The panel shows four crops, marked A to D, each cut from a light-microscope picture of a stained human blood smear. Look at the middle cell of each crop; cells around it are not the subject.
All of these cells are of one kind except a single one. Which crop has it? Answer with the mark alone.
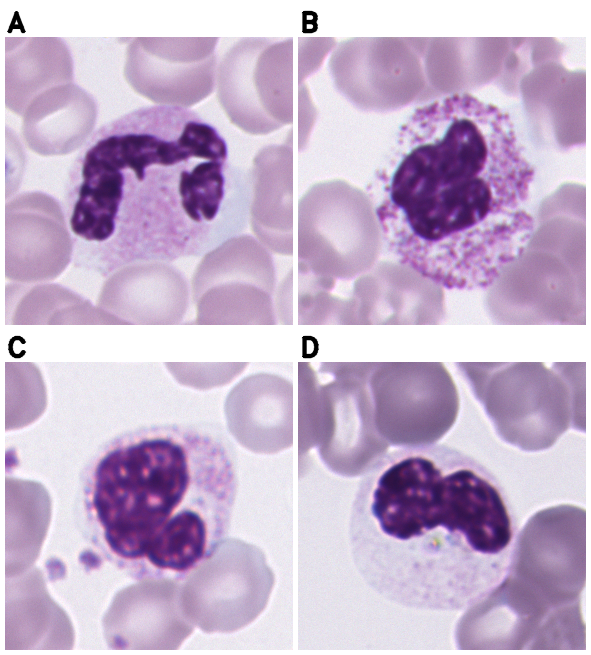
D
